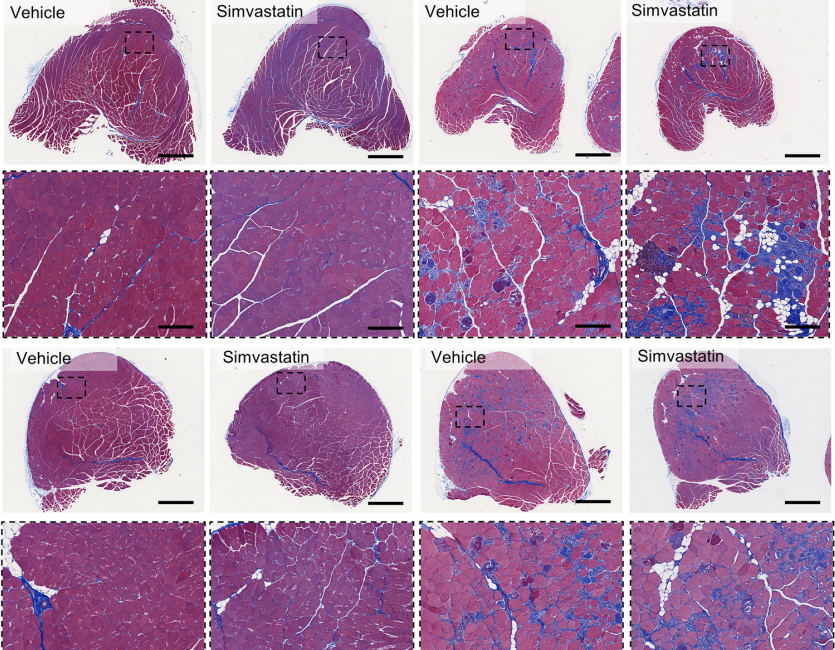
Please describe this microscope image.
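These are cross sections of whole skeletal muscles, with enlarged insets in which the myofibers appear as closely packed polygonal profiles stained red-purple. In some insets the fibers are uniform and tightly packed, with only thin white gaps between them and small strands of blue connective tissue. In other insets the fibers vary in size and shape, some are rounded and darker, and there are widened blue-stained areas between them. These same insets also contain clusters of round, empty white spaces that look like fat cells lying among the fibers.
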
